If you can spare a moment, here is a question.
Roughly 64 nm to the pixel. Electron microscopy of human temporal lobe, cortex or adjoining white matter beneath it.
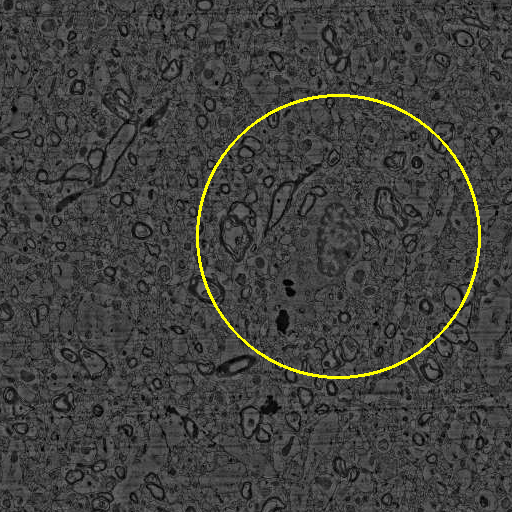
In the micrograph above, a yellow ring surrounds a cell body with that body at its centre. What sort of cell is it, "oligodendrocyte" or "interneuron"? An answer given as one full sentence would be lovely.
Centred inside the yellow ring, the cell body shown belongs to an oligodendrocyte in this micrograph.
